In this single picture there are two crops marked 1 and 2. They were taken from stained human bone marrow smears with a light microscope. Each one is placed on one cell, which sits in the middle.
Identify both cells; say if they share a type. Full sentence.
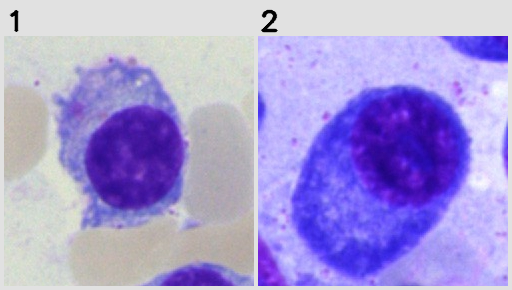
Yes, in the middle of both crops, plasma cells are shown.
